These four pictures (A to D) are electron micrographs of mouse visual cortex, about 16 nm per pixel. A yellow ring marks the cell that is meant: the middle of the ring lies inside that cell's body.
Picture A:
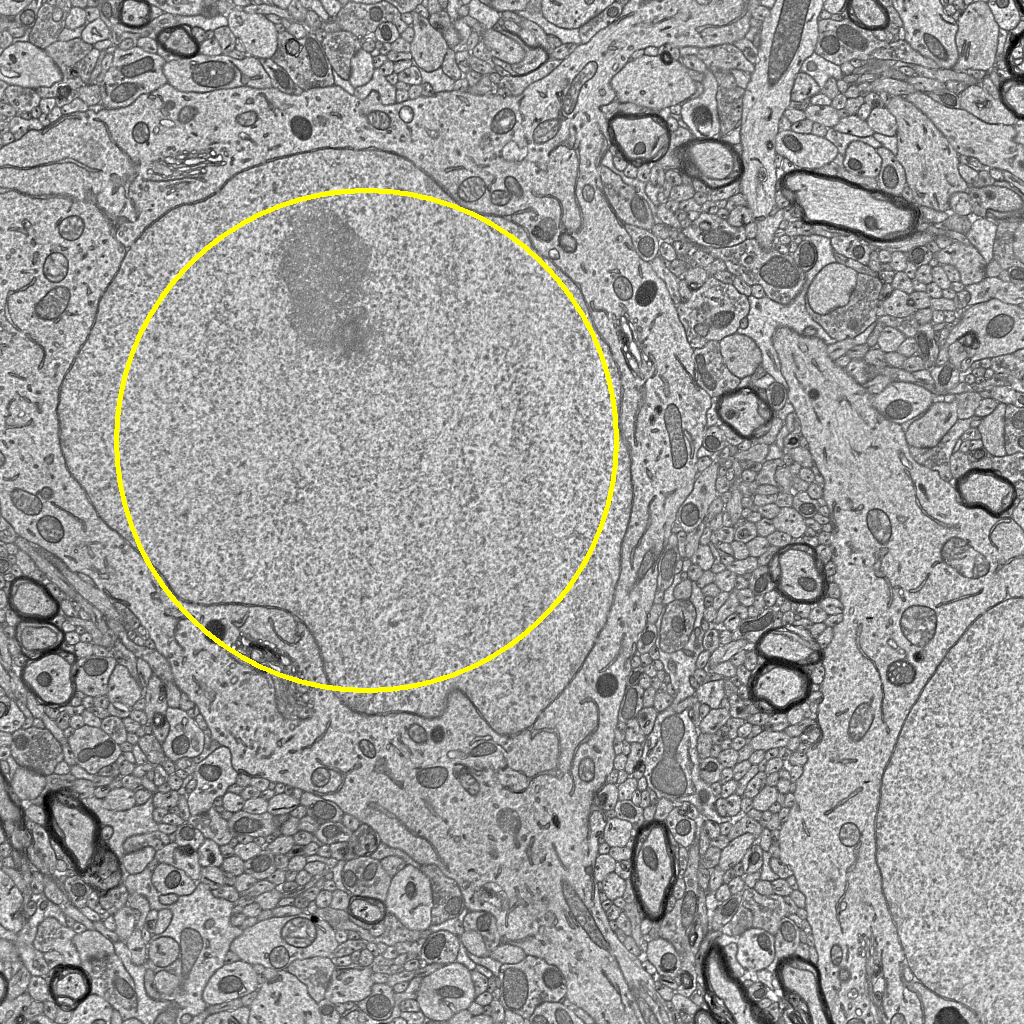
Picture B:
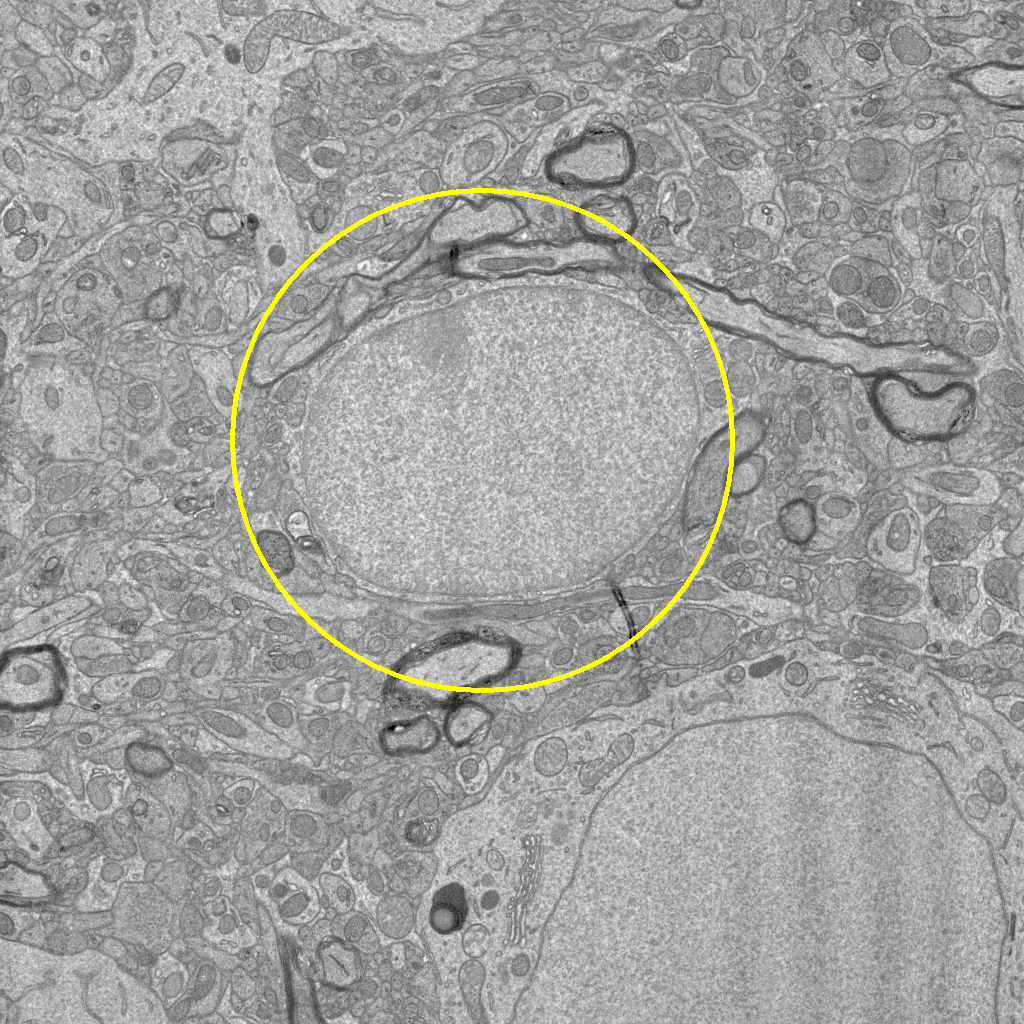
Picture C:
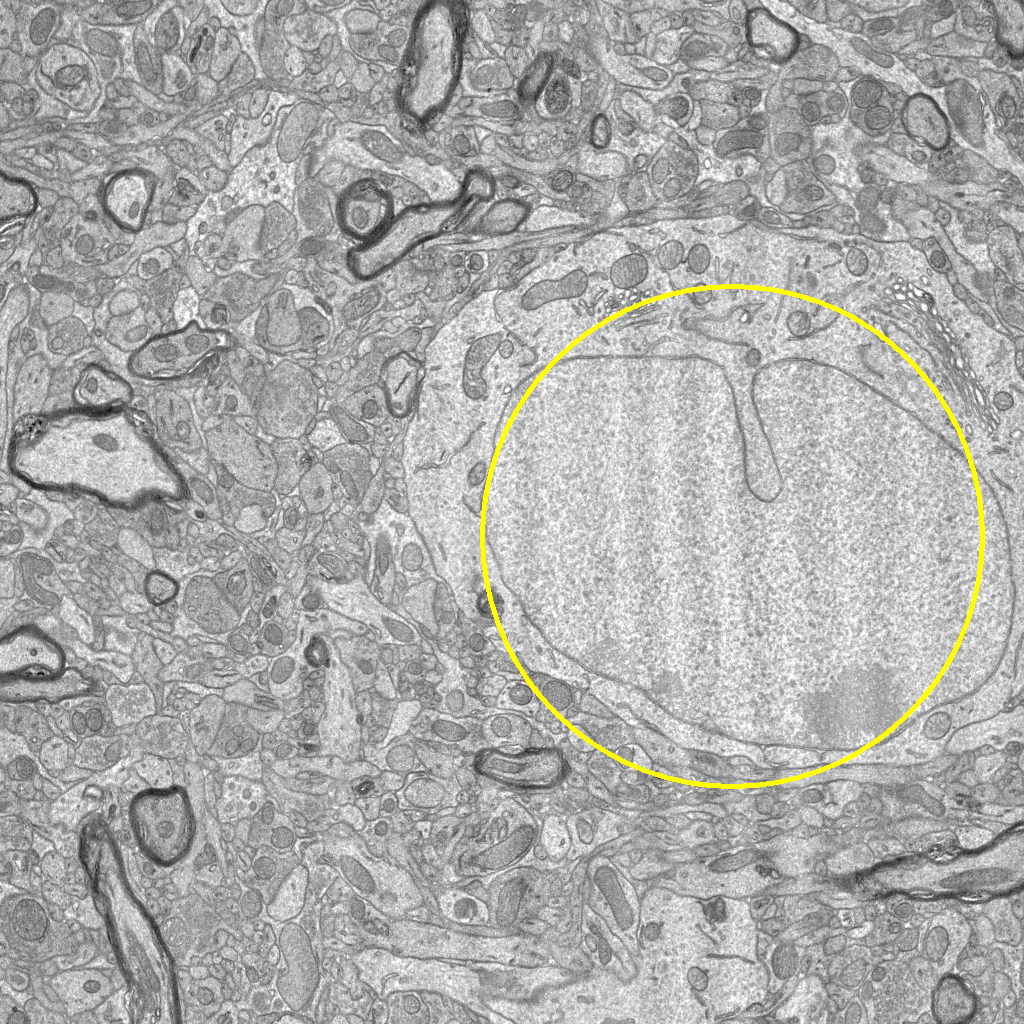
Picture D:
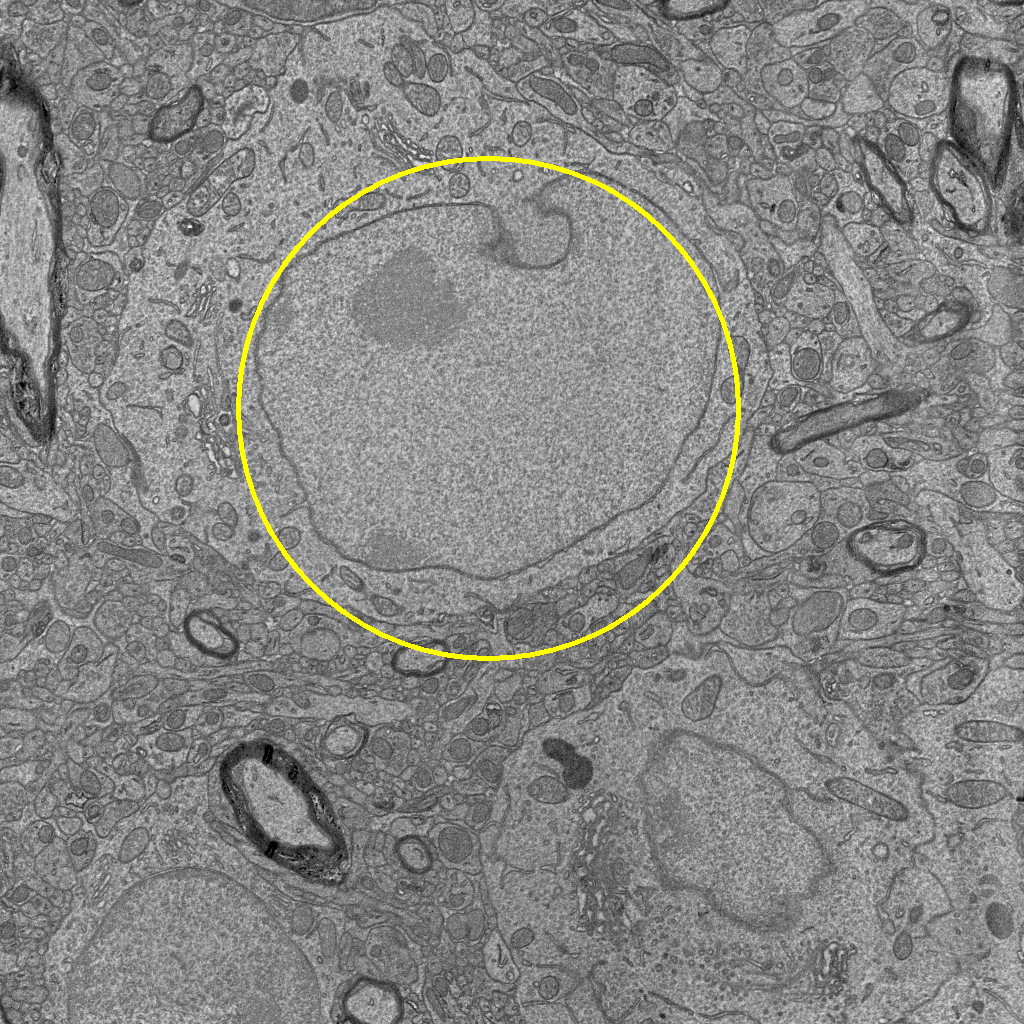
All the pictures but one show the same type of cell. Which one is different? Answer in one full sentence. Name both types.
Unlike the rest, which show excitatory neurons, picture B shows an astrocyte.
